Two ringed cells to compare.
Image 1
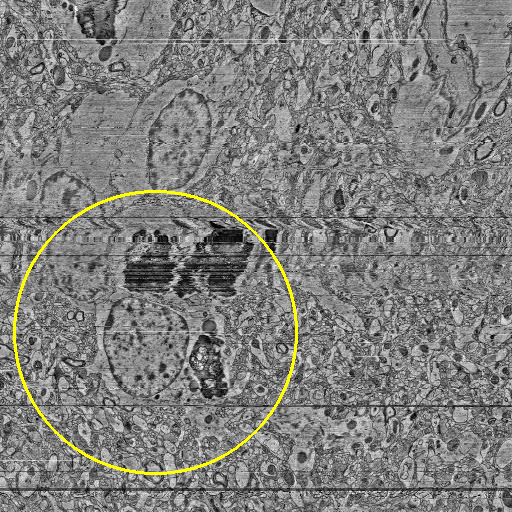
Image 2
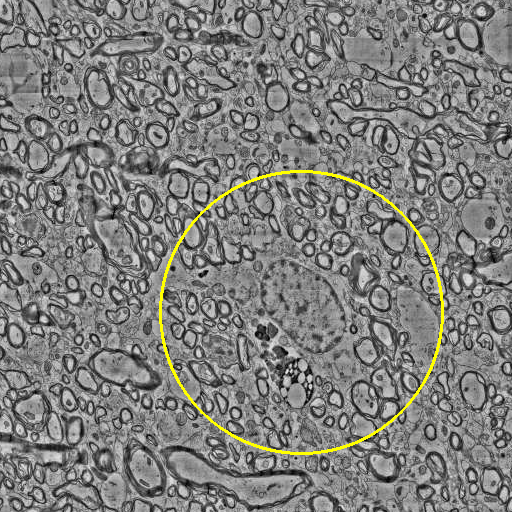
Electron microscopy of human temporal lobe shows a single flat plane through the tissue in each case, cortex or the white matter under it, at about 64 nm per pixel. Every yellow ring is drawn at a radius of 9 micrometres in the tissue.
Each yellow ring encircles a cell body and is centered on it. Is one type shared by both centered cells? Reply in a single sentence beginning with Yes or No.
Yes, a single type is shared by the two cells at the centers of the rings.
